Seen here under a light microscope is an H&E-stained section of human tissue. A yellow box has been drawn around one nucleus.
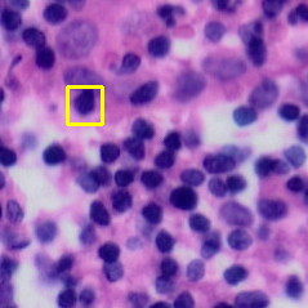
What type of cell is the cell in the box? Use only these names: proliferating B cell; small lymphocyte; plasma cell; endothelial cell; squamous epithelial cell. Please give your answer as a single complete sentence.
What the cell in the box represents is an endothelial cell.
